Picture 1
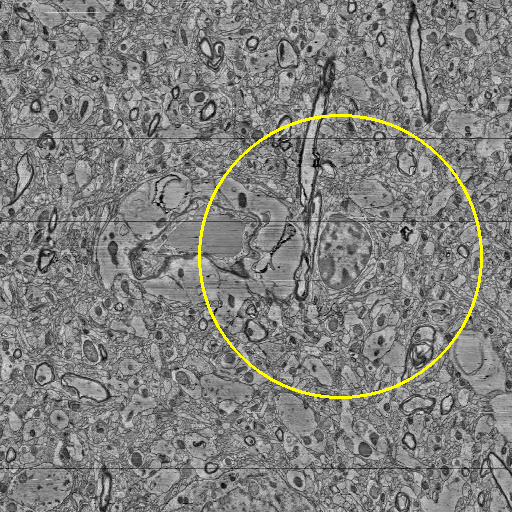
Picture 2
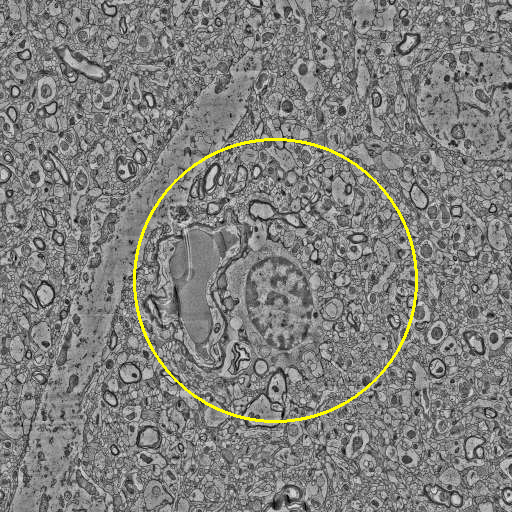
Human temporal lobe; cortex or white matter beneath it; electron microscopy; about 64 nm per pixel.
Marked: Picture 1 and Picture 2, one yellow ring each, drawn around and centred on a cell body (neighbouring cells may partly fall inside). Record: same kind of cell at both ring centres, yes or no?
no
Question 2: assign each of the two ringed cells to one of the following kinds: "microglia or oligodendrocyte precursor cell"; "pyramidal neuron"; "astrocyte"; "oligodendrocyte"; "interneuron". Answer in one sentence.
The two cells are a microglial cell or oligodendrocyte precursor cell in the first picture and an oligodendrocyte in the second.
